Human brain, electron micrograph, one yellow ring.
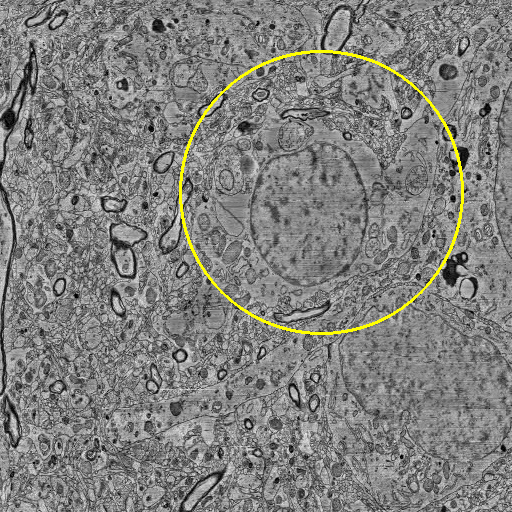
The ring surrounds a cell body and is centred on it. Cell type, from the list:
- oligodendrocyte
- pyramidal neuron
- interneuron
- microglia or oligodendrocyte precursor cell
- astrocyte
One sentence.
The yellow ring circles an astrocyte.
